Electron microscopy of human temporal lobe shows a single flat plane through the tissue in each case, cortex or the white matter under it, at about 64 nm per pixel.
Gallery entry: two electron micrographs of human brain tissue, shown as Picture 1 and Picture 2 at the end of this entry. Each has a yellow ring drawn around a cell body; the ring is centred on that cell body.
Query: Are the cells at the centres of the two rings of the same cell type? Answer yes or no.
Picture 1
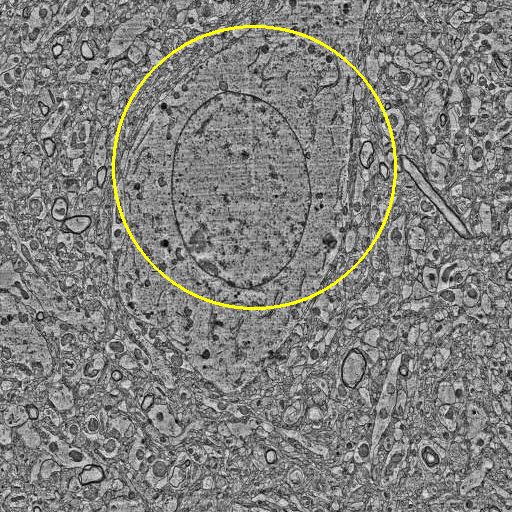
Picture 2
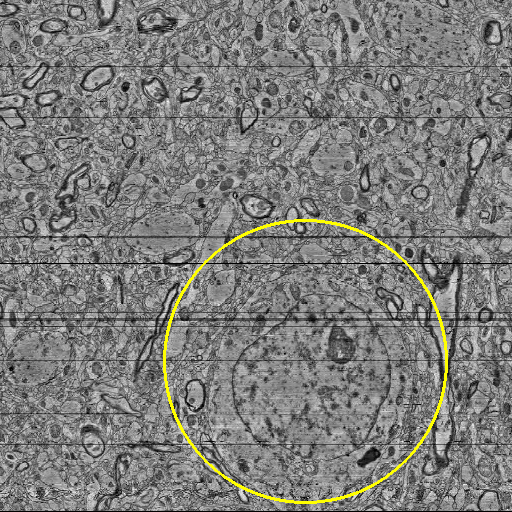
yes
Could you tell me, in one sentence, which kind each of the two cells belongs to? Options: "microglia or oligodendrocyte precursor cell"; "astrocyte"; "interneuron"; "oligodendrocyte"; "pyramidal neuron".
The cell in the first picture is a pyramidal neuron, and so is the one in the second.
